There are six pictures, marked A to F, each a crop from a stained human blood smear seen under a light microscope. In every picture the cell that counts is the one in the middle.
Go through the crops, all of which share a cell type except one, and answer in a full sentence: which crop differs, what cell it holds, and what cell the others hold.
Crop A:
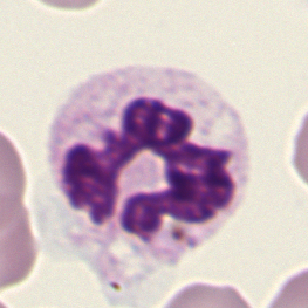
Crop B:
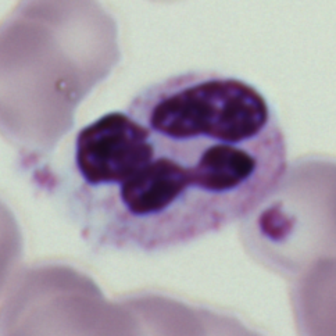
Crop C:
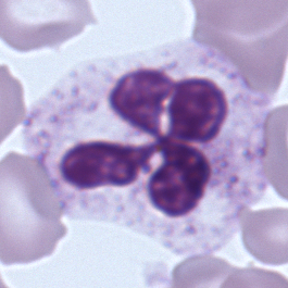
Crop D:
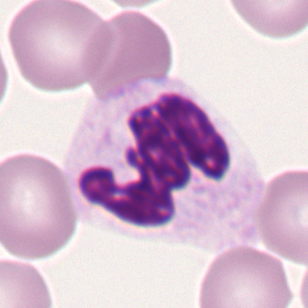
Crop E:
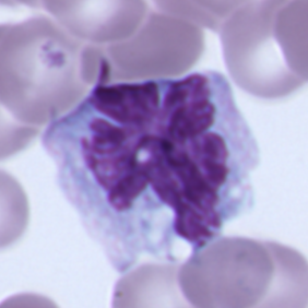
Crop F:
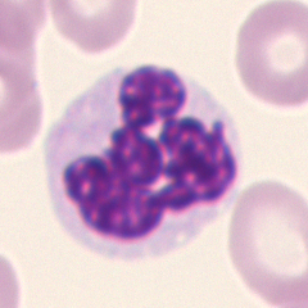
Crop E contains a monocyte, setting it apart from the other crops, which all contain segmented neutrophils.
